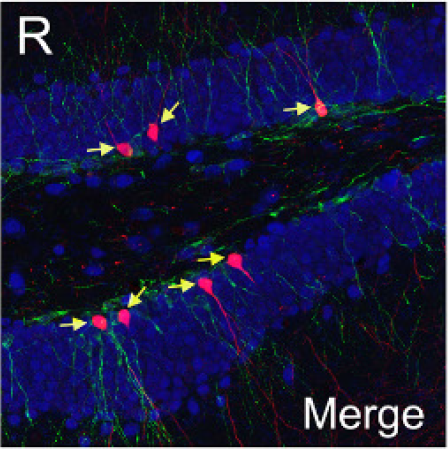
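Two curved bands of densely packed, small round neuronal cell bodies (blue) are shown, with a nucleus-poor zone between them. Green cells with thin radially oriented processes run along the same inner border, mostly separate from the red cells.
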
